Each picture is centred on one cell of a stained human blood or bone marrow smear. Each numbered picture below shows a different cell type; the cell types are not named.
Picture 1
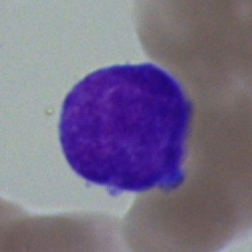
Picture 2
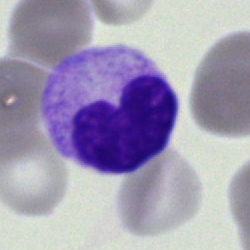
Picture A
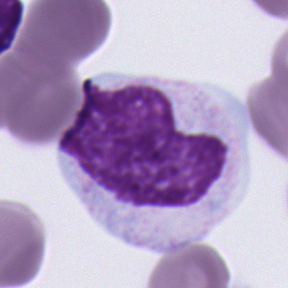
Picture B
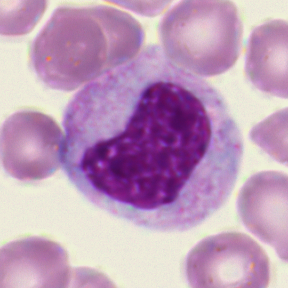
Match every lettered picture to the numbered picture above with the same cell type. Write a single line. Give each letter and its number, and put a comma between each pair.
A 2, B 2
